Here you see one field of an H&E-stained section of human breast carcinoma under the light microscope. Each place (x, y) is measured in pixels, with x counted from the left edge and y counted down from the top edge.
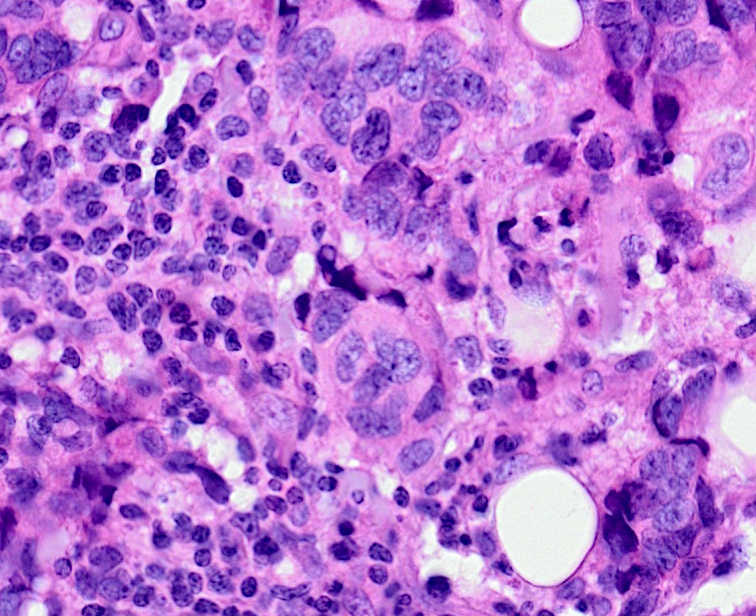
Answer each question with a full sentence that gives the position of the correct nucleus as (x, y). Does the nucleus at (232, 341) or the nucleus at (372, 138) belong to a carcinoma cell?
The nucleus positioned at (372, 138) forms part of a carcinoma cell.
